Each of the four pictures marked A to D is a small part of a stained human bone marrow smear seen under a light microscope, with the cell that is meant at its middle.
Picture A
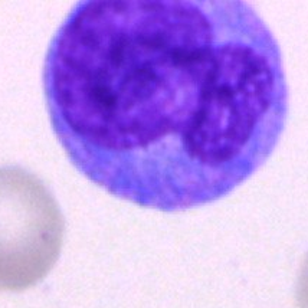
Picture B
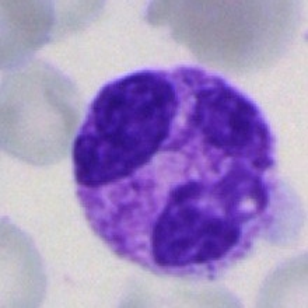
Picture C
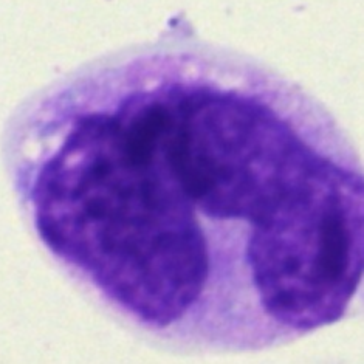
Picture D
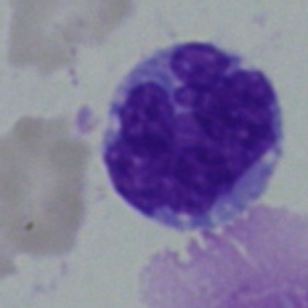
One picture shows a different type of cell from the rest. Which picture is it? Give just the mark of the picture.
B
